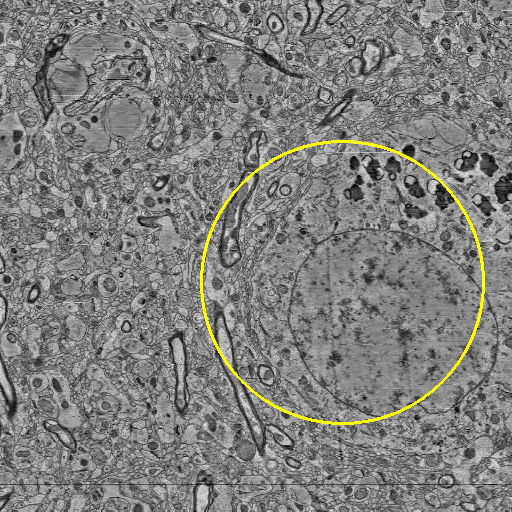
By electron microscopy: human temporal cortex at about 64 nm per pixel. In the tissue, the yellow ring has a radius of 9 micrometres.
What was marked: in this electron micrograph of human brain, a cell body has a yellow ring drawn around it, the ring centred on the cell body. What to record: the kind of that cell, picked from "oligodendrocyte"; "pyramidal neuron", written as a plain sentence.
The centred cell is a pyramidal neuron.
